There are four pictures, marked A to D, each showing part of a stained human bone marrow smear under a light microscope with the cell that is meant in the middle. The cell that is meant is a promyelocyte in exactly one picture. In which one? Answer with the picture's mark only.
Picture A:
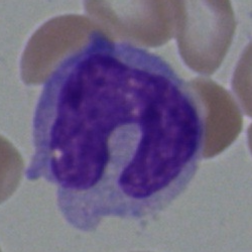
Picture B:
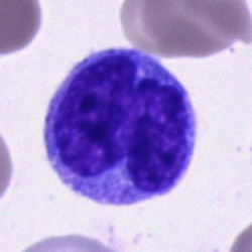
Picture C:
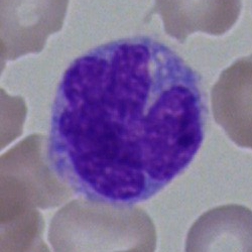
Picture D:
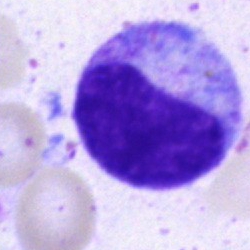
D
